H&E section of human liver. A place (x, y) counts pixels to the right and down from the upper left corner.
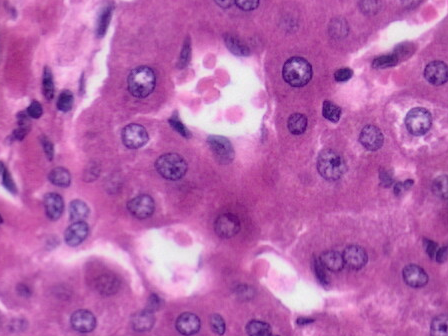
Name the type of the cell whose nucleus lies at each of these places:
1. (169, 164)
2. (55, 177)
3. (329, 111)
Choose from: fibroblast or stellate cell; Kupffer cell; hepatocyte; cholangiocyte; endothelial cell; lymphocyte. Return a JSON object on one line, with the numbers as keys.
{"1": "hepatocyte", "2": "cholangiocyte", "3": "fibroblast or stellate cell"}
